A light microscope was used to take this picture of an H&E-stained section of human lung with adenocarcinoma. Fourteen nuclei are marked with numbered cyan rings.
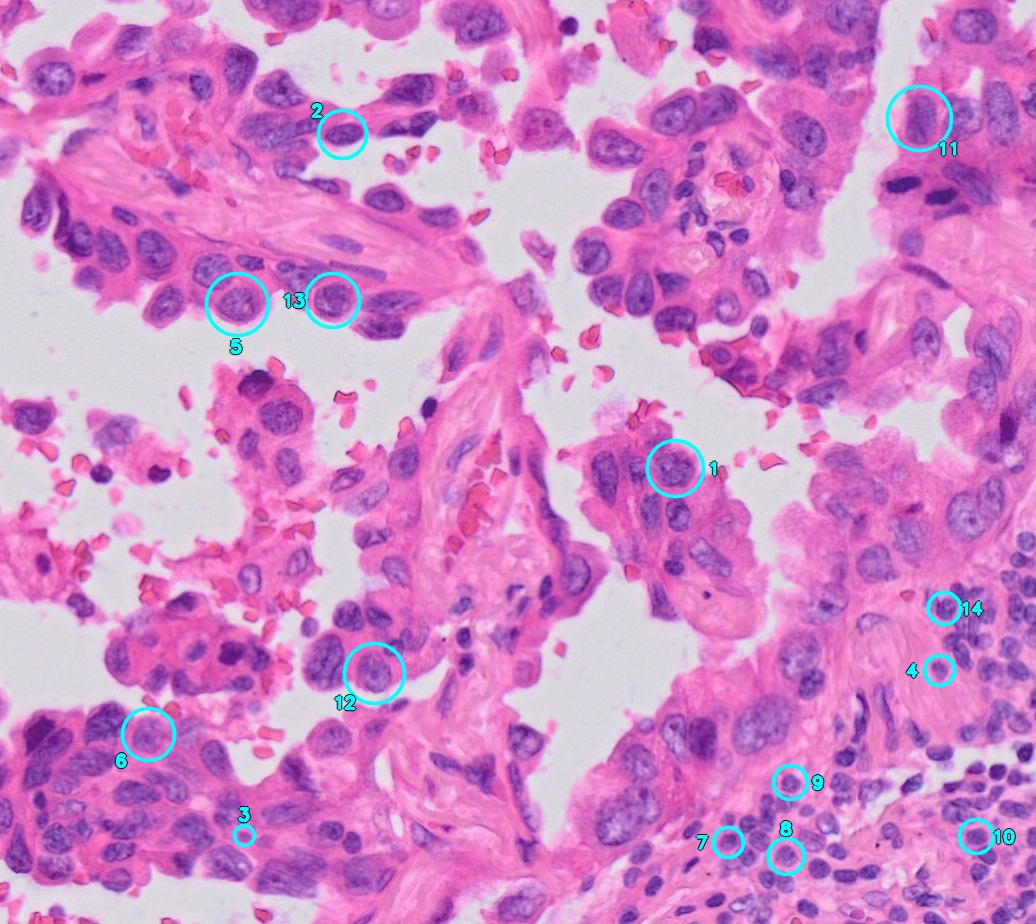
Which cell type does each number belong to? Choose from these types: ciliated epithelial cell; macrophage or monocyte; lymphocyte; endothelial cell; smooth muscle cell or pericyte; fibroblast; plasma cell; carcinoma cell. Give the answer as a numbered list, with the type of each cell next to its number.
1. carcinoma cell
2. carcinoma cell
3. carcinoma cell
4. lymphocyte
5. carcinoma cell
6. carcinoma cell
7. lymphocyte
8. lymphocyte
9. lymphocyte
10. lymphocyte
11. carcinoma cell
12. carcinoma cell
13. carcinoma cell
14. lymphocyte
